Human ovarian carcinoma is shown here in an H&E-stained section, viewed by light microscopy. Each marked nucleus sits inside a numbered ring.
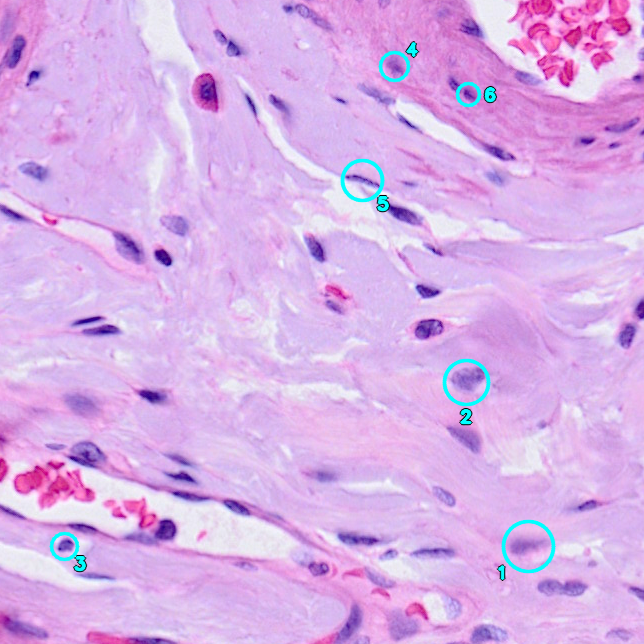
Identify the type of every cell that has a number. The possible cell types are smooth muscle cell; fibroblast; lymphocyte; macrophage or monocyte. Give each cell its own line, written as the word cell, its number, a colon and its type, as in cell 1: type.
cell 1: fibroblast
cell 2: fibroblast
cell 3: lymphocyte
cell 4: smooth muscle cell
cell 5: fibroblast
cell 6: smooth muscle cell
